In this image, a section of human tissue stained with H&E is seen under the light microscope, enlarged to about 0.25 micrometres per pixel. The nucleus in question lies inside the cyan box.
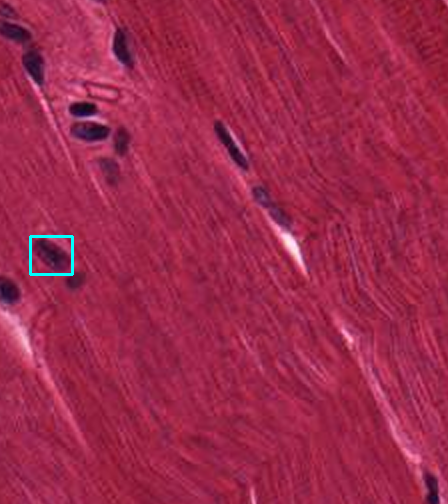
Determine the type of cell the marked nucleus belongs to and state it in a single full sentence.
Here it is a skeletal muscle fibre that the marked nucleus belongs to.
